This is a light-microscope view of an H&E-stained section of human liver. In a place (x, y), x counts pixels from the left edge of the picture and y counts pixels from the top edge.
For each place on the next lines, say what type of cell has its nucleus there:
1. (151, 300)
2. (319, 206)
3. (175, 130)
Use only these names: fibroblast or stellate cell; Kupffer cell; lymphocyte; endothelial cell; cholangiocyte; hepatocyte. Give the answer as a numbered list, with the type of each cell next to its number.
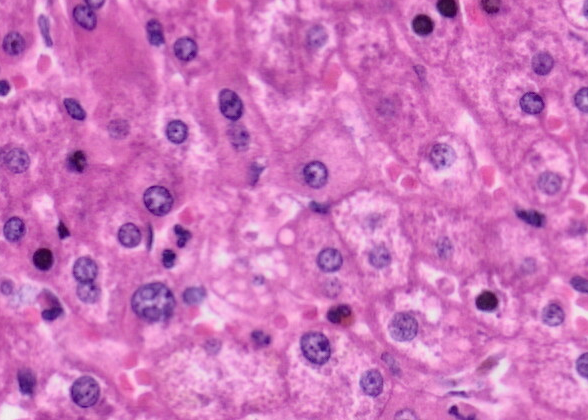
1. hepatocyte
2. fibroblast or stellate cell
3. hepatocyte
